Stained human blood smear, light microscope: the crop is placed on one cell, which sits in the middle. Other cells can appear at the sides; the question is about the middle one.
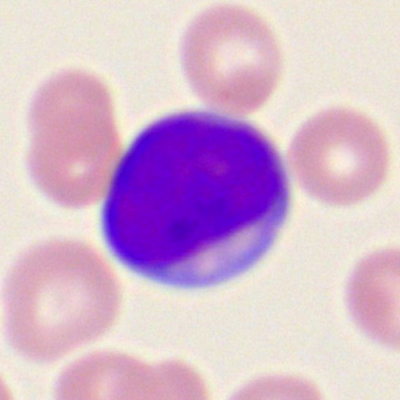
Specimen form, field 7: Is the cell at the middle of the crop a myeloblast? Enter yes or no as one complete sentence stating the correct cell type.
Yes, the cell centred in the field of view is a myeloblast.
